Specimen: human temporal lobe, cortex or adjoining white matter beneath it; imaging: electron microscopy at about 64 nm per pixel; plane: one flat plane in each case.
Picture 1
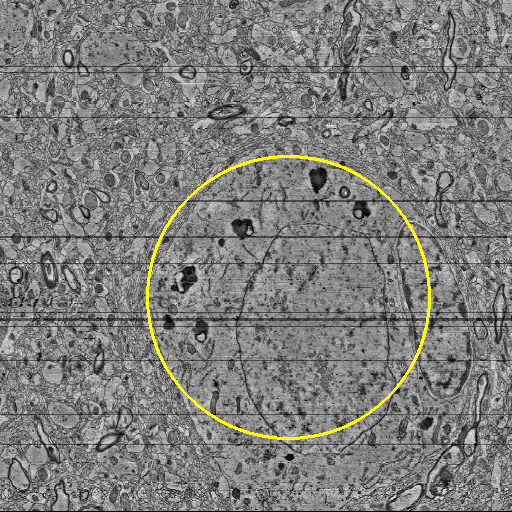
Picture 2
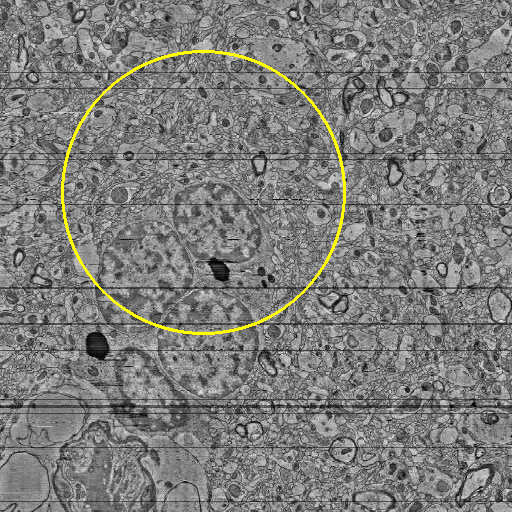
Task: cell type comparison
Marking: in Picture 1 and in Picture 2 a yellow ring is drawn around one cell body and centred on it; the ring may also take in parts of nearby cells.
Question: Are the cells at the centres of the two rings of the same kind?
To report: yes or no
no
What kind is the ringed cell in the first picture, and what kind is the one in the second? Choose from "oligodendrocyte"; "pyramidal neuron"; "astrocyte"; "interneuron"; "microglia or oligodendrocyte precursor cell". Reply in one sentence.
The first cell is a pyramidal neuron; the second is an oligodendrocyte.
